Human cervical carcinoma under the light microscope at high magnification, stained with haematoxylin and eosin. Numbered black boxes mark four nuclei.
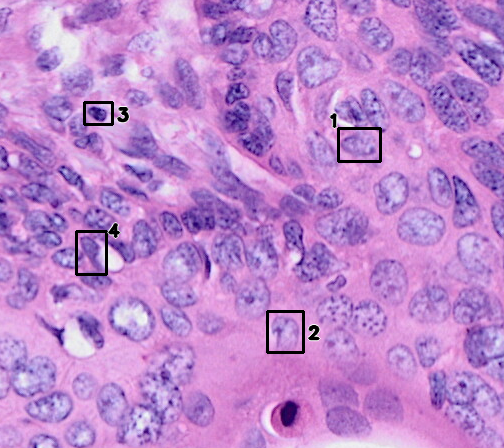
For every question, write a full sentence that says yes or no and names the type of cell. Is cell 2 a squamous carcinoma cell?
Yes, the cell sitting at number 2 is a squamous carcinoma cell.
